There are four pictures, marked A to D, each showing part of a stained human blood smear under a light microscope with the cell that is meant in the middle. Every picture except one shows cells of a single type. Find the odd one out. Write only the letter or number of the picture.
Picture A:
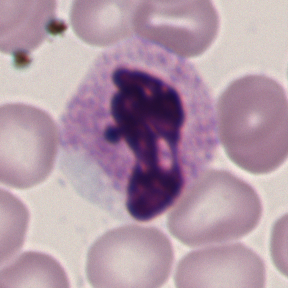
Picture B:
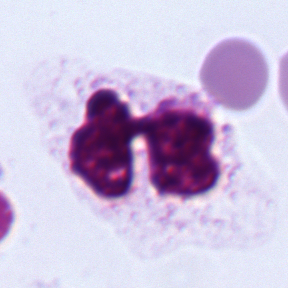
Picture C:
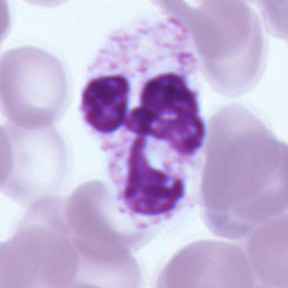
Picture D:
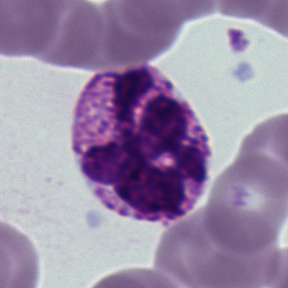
D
